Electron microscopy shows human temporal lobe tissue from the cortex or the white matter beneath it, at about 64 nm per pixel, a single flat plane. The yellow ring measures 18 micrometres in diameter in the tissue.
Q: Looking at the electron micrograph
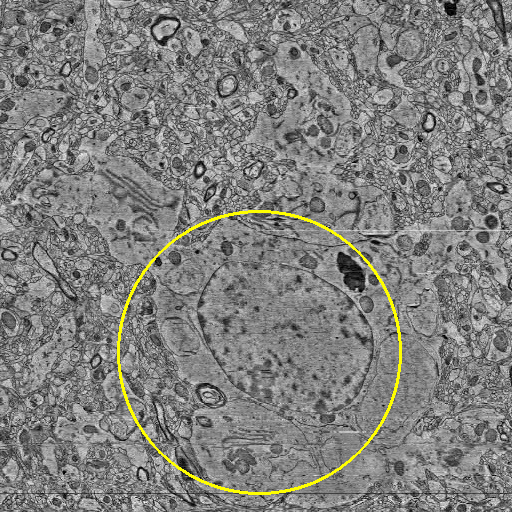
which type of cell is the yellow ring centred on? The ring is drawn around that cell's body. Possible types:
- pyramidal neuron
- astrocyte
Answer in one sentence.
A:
The yellow ring is centred on an astrocyte.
